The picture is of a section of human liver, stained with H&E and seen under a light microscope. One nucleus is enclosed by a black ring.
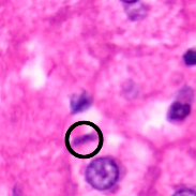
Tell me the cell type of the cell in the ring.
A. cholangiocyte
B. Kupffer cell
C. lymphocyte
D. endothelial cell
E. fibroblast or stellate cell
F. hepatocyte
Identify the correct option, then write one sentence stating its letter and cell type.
The correct option, D, describes the cell in the ring as an endothelial cell.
